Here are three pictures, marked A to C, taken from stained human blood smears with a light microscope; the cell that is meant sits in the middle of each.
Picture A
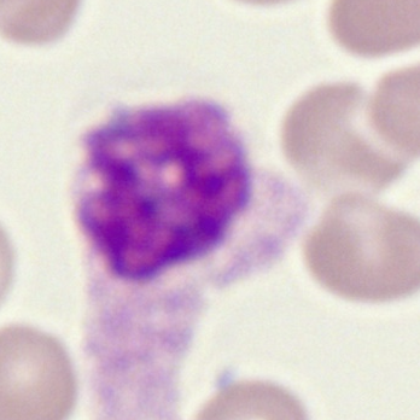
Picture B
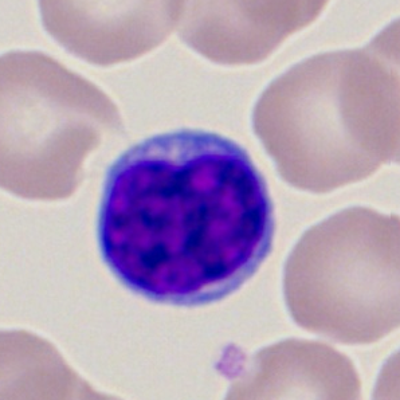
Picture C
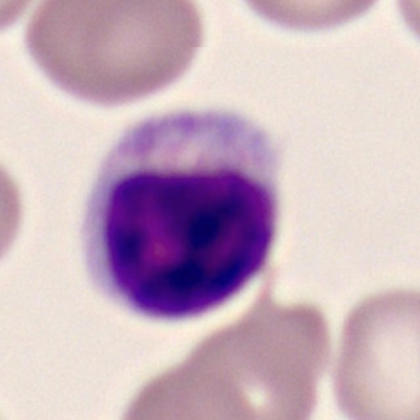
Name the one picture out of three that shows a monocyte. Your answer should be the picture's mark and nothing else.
A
